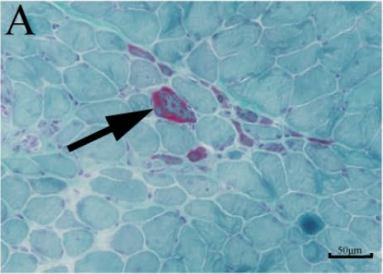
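A cross-section of skeletal muscle in which most fibers are polygonal and stained blue-green, packed closely with thin pale spaces between them. Fiber size varies, with some small rounded fibers among larger ones. One fiber, marked by an arrow, stands out with red-magenta staining that is clumped and irregular, heaviest toward its edge, giving it a ragged appearance. A smaller red-stained profile lies close by. Small dark nuclei sit at the edges of fibers and in the narrow strips of connective tissue between them, where a few elongated red-purple structures also run between the fibers.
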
